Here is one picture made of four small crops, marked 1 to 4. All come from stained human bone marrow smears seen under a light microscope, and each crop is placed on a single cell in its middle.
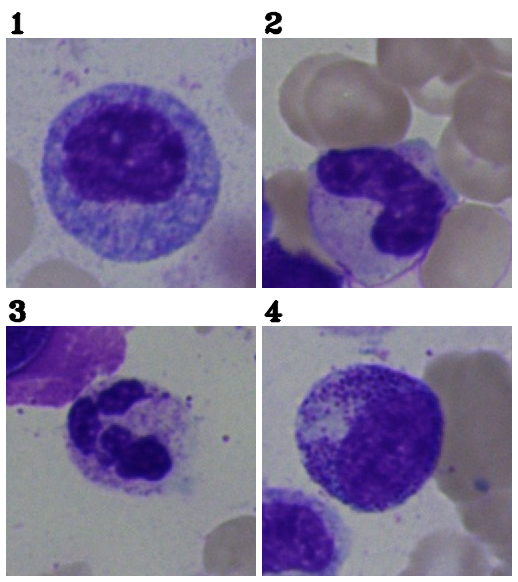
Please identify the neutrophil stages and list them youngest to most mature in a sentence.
Least to most mature, the crops line up as crop 1 (a promyelocyte), crop 4 (a myelocyte), crop 2 (a band neutrophil) and crop 3 (a segmented neutrophil).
